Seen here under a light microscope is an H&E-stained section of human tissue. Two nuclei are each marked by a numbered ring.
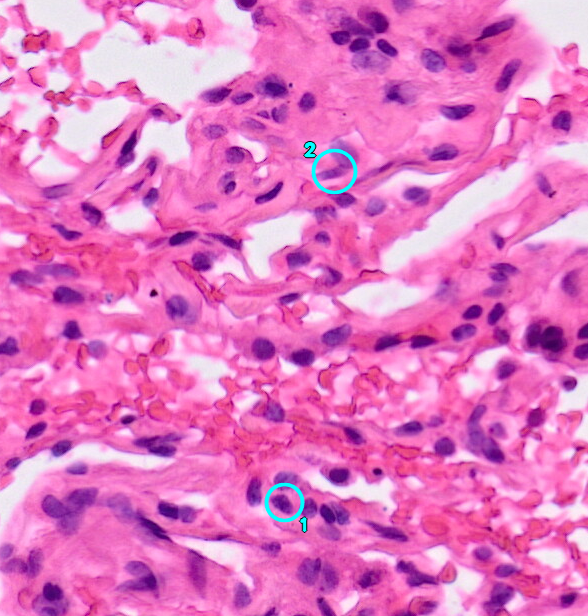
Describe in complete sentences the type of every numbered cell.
Cell 1 is a lymphocyte and cell 2 is an endothelial cell.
